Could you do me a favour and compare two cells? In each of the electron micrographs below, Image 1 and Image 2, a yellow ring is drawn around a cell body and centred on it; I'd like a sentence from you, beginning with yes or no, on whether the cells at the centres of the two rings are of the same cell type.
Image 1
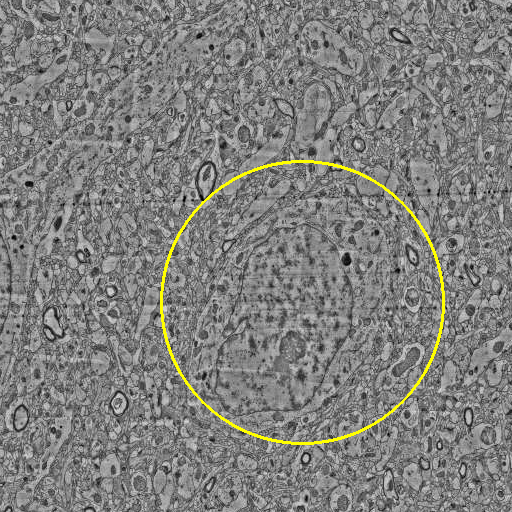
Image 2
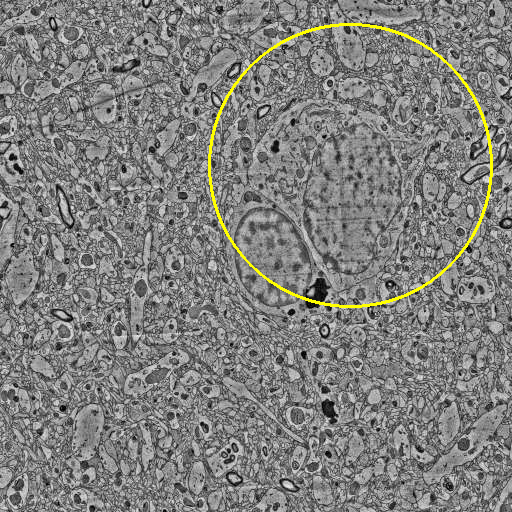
Yes, the two cells are of the same cell type.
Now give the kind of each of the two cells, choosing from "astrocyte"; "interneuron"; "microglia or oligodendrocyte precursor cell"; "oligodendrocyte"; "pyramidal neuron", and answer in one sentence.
The second cell is an interneuron, just as the first is.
